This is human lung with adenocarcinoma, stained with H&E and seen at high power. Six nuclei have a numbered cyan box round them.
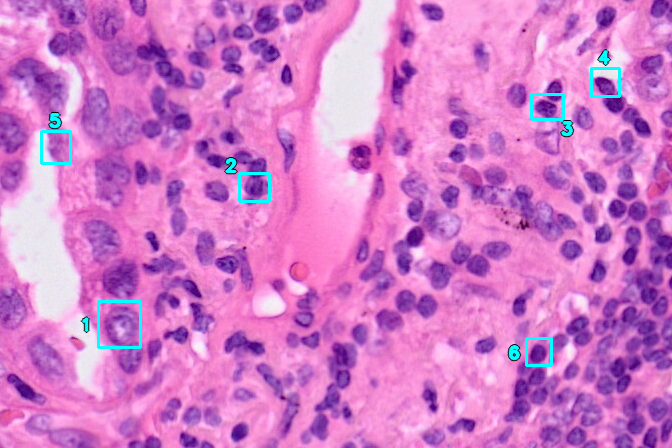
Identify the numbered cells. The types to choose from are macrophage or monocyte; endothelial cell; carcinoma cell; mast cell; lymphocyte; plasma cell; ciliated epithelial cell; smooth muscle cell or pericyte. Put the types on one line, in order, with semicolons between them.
carcinoma cell; lymphocyte; lymphocyte; lymphocyte; carcinoma cell; lymphocyte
